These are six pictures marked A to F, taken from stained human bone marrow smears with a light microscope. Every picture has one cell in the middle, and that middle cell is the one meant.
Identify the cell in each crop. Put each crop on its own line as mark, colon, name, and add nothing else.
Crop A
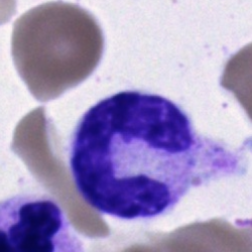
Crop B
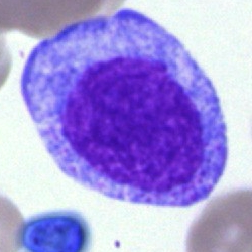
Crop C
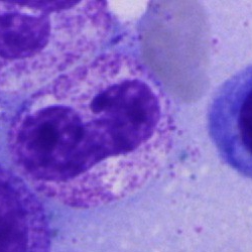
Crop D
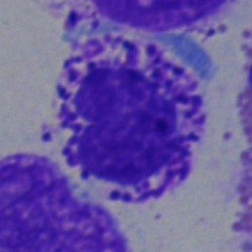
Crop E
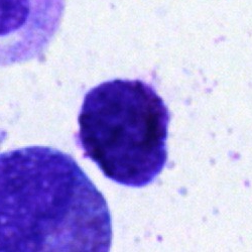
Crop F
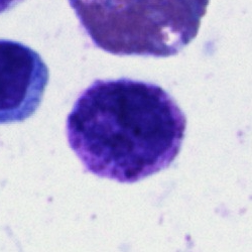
A: band neutrophil
B: promyelocyte
C: band neutrophil
D: basophil
E: basophil
F: basophil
